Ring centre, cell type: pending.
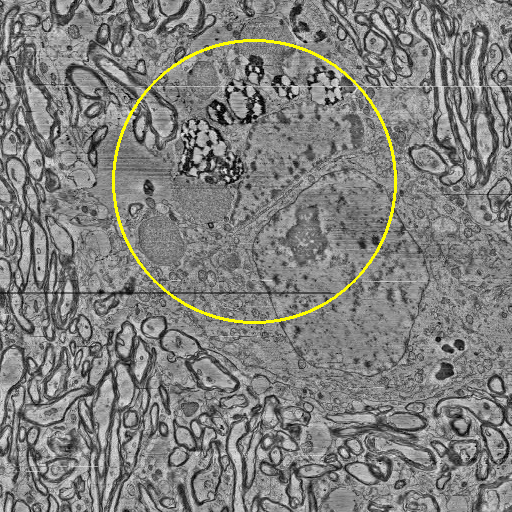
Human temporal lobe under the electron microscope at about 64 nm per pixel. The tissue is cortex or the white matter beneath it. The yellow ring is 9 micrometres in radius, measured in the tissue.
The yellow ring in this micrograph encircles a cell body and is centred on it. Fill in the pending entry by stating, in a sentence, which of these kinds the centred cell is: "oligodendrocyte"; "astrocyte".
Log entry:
The centred cell is recorded as an astrocyte.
